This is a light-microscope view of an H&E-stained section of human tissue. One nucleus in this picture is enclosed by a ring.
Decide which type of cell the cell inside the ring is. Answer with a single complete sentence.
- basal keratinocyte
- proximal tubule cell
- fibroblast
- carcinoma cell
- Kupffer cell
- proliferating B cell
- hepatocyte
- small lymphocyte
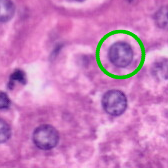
By cell type, the cell inside the ring is a hepatocyte.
